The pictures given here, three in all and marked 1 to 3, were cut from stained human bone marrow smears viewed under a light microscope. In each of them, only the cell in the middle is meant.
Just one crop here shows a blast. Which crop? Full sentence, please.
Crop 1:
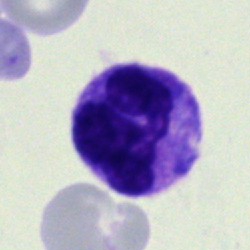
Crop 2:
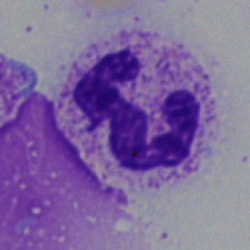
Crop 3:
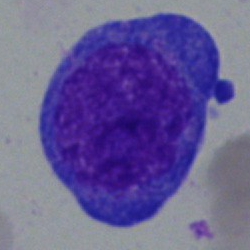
Identified crop: 3, the one that shows a blast.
